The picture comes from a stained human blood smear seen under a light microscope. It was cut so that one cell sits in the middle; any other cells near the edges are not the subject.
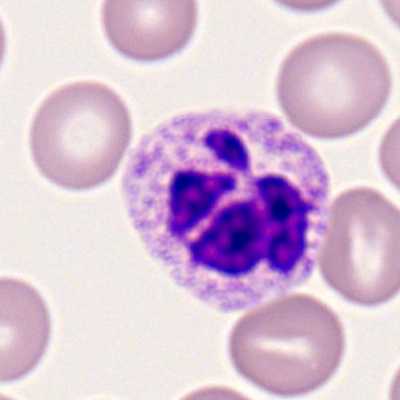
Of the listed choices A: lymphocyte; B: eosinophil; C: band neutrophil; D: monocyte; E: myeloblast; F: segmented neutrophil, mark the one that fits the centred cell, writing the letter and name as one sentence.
The cell in the center of this crop is a segmented neutrophil, so option F is the one to pick.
